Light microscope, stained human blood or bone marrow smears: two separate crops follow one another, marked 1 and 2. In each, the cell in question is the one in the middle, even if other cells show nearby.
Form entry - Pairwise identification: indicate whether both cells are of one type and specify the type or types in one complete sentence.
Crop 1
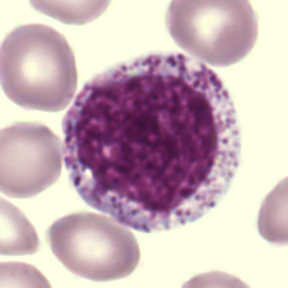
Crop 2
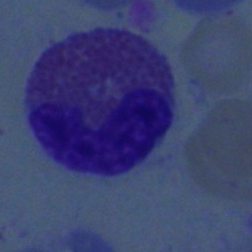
No, crop 1 depicts a myelocyte; crop 2 depicts an eosinophil.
